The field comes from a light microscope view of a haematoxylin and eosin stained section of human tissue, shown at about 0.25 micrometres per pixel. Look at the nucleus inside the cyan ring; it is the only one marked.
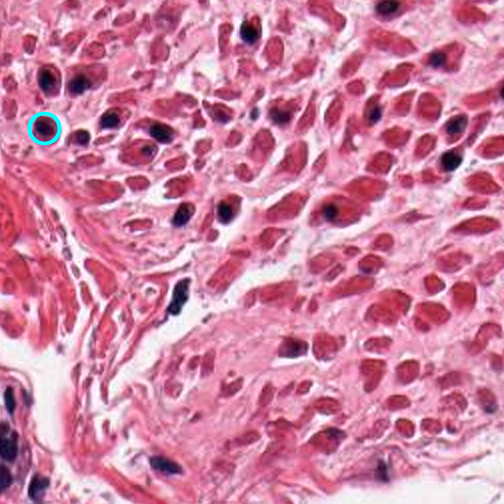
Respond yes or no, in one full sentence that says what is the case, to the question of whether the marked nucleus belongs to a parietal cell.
No, a parietal cell is not the owner of the marked nucleus.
